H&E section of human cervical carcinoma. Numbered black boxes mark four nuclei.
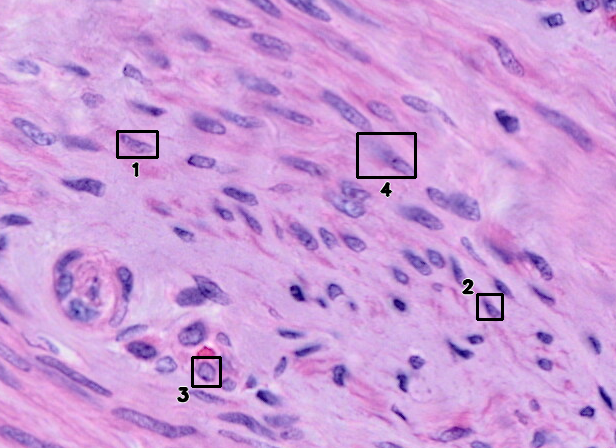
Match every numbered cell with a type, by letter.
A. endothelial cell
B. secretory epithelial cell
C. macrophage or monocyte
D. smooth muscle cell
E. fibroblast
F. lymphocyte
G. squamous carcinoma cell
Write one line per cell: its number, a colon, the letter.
1: D
2: D
3: A
4: D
